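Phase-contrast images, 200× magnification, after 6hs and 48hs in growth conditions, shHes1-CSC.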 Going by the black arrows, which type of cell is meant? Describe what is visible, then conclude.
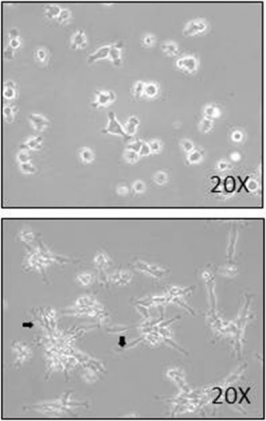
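Cells in the lower image are spread with several slender branching processes. Cell bodies are small with extensions radiating outward. That points to this answer: neuron-like cells.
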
